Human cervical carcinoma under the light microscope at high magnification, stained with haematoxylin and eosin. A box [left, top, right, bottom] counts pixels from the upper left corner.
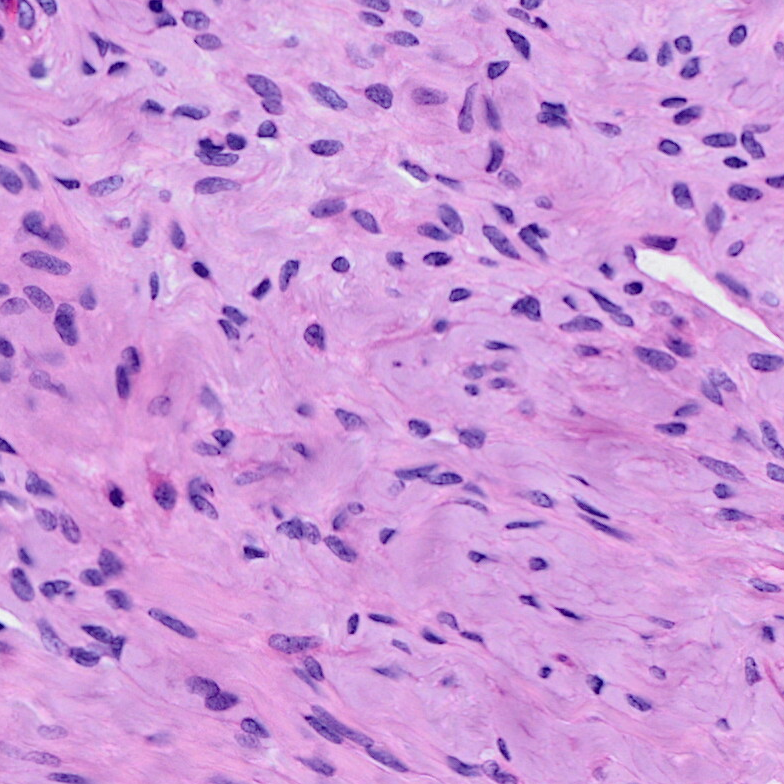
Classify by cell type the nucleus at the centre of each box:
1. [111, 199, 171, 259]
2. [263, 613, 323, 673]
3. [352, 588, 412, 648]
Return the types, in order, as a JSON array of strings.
["fibroblast", "smooth muscle cell", "fibroblast"]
